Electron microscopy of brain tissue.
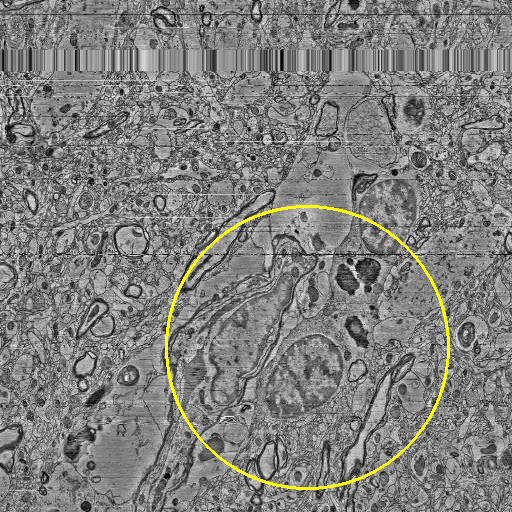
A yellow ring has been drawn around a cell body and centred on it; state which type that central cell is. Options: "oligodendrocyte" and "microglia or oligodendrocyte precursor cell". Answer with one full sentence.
The cell at the middle of the yellow ring is an oligodendrocyte in this picture.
